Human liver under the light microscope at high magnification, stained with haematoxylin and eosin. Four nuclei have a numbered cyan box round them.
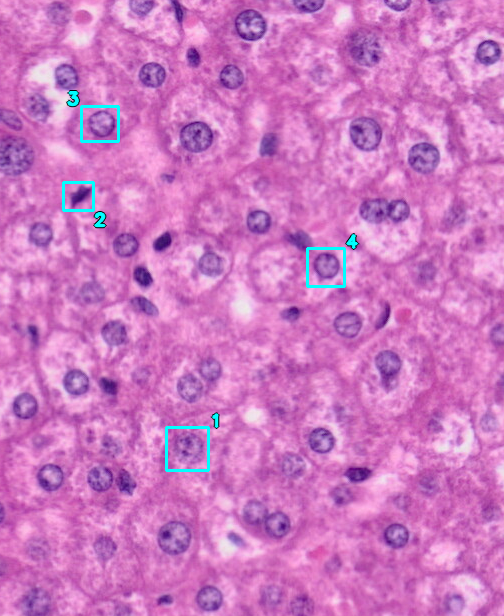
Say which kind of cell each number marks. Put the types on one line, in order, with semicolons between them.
hepatocyte; fibroblast or stellate cell; hepatocyte; hepatocyte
